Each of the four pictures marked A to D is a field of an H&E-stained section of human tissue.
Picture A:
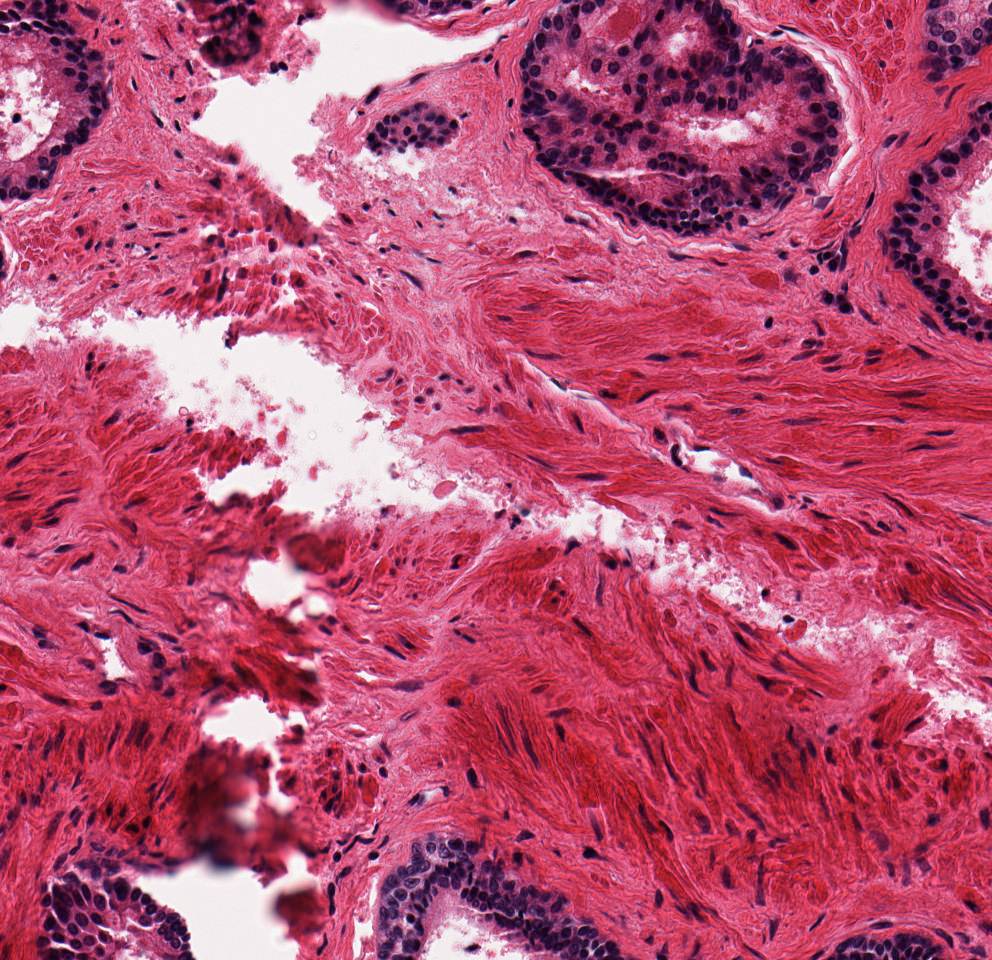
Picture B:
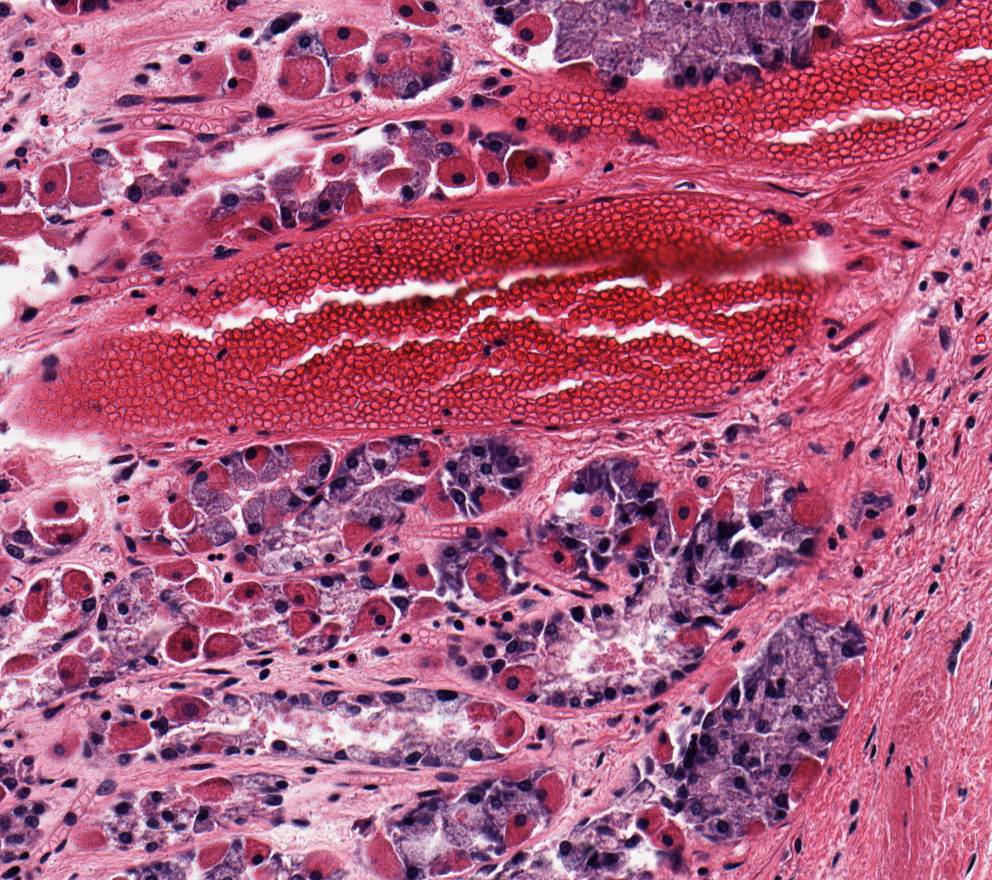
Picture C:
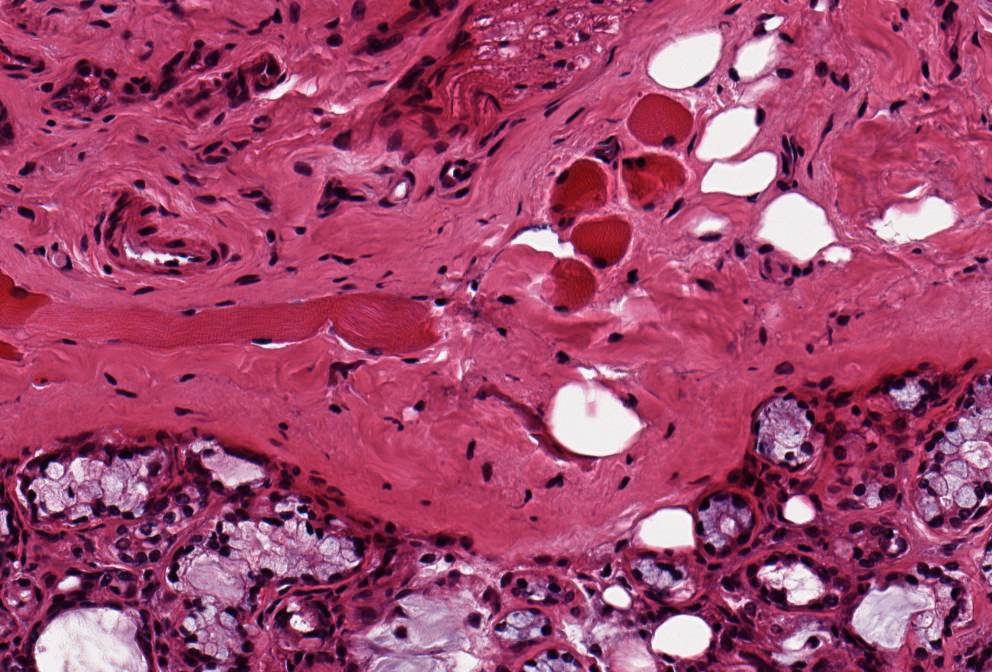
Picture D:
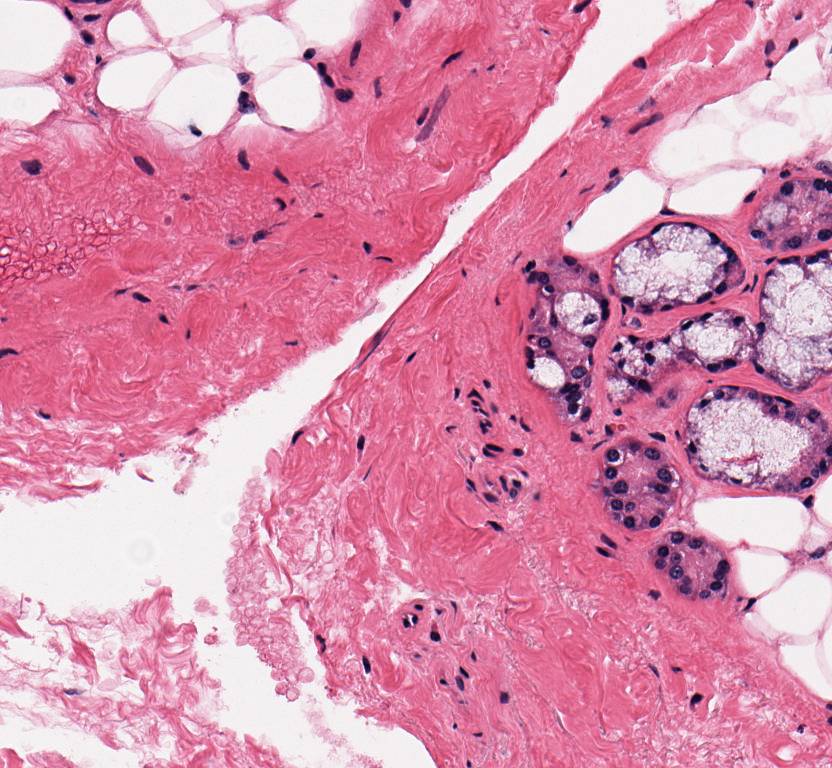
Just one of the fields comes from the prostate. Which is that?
A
